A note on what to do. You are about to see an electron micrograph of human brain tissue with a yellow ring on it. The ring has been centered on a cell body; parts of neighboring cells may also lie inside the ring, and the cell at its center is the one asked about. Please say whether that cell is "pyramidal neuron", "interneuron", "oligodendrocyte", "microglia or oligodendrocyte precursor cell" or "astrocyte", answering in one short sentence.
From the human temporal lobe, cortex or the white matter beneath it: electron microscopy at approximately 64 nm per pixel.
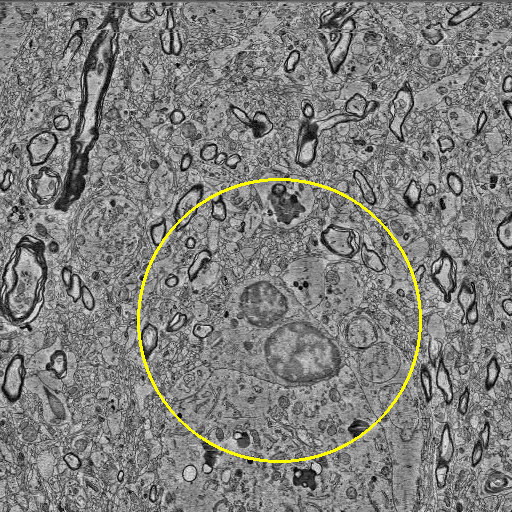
The yellow ring sits on an oligodendrocyte.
